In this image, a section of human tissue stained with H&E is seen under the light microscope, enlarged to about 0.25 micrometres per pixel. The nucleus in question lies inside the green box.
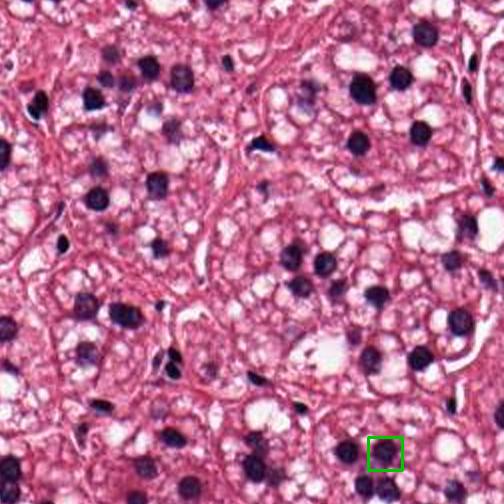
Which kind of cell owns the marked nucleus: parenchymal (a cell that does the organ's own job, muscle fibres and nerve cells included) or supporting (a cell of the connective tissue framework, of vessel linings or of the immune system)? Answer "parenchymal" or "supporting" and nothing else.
parenchymal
